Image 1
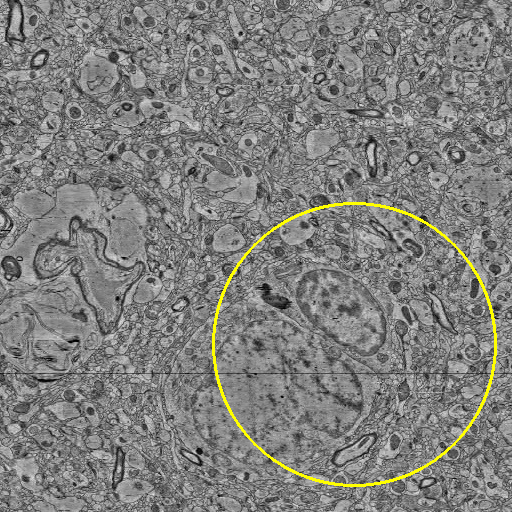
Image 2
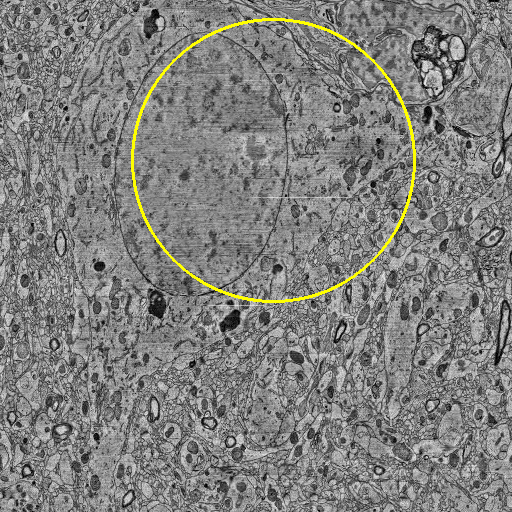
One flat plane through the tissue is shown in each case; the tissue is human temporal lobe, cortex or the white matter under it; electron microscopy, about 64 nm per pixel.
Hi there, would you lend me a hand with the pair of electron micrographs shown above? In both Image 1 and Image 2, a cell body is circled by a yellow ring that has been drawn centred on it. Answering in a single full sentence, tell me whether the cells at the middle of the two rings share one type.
No, the ringed cells in Image 1 and Image 2 belong to two types.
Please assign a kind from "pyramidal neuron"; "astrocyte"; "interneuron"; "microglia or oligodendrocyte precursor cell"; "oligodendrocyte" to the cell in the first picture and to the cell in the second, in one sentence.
In the first picture we have an oligodendrocyte, and in the second, a pyramidal neuron.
